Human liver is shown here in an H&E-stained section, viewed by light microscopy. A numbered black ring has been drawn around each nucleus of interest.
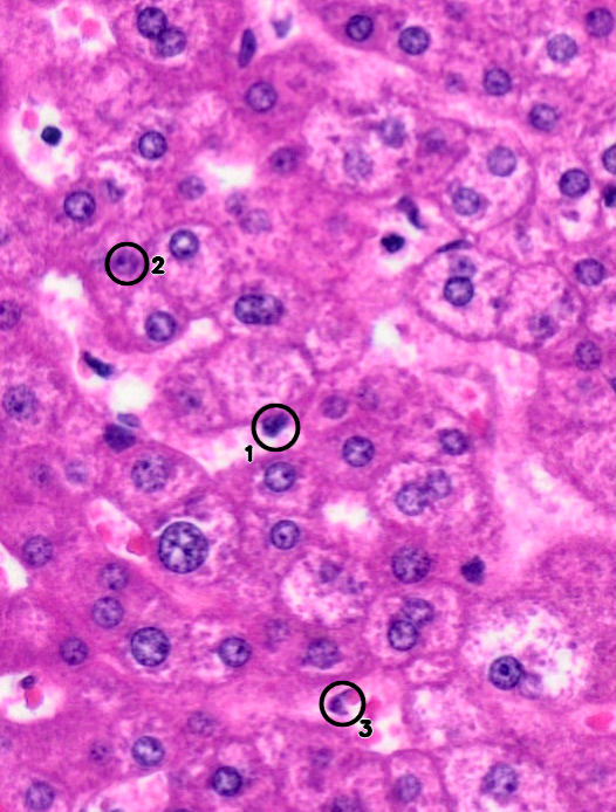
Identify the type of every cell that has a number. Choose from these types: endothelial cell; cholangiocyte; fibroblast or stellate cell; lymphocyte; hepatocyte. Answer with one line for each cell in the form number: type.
1: endothelial cell
2: hepatocyte
3: endothelial cell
